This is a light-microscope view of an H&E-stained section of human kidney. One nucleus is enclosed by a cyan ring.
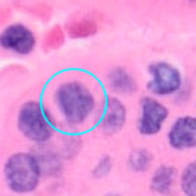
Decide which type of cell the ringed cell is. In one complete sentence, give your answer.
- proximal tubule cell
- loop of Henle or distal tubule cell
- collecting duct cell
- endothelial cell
In short, the ringed cell on this section is a collecting duct cell.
